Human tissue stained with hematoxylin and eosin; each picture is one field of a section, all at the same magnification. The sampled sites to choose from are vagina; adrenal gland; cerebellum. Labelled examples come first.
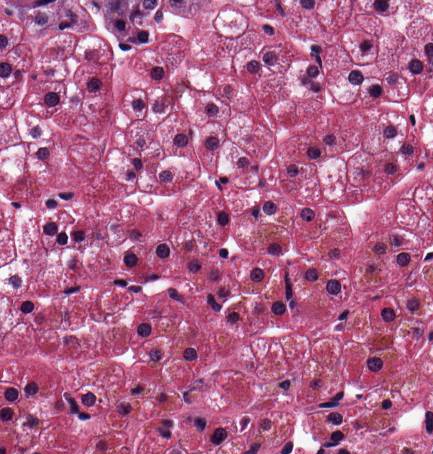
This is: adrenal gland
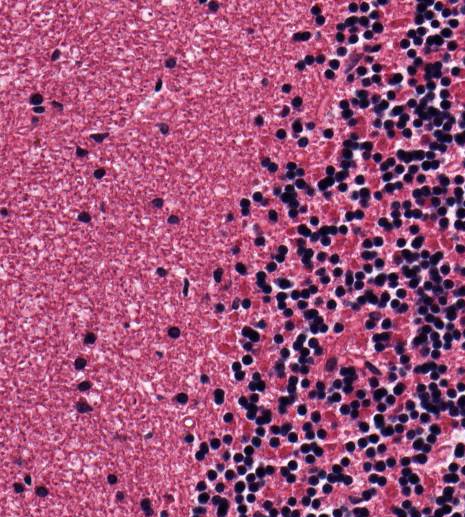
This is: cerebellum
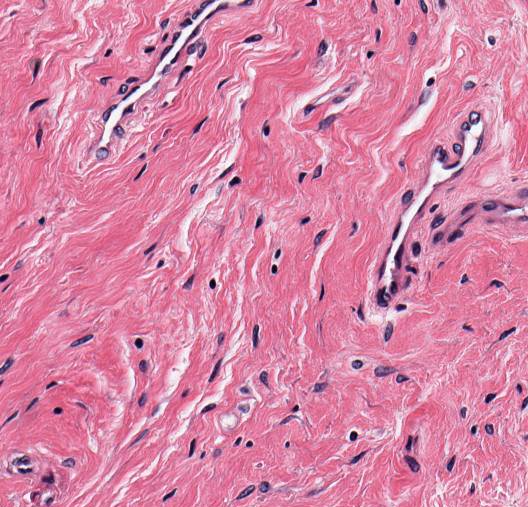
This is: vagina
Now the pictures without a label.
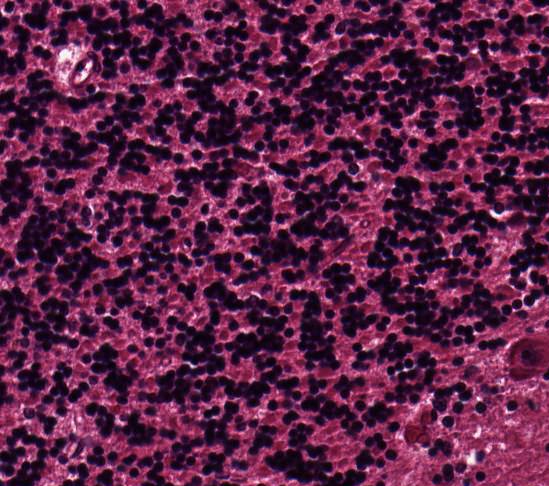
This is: cerebellum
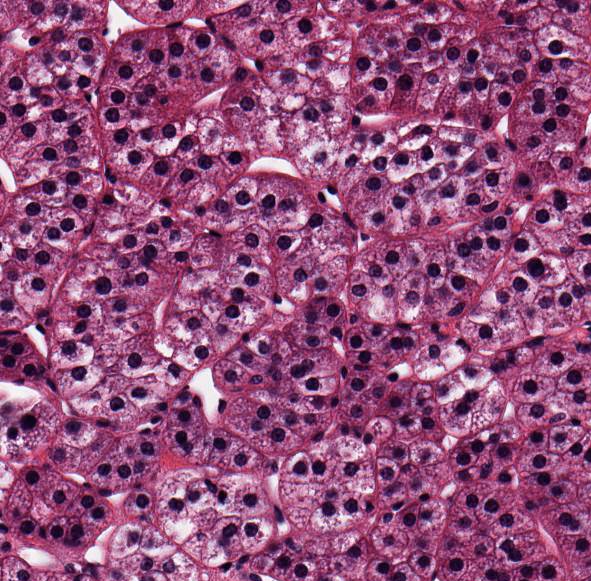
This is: adrenal gland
